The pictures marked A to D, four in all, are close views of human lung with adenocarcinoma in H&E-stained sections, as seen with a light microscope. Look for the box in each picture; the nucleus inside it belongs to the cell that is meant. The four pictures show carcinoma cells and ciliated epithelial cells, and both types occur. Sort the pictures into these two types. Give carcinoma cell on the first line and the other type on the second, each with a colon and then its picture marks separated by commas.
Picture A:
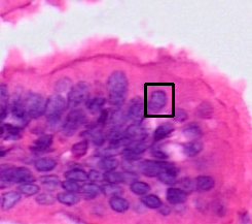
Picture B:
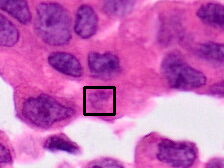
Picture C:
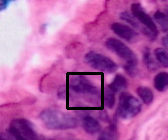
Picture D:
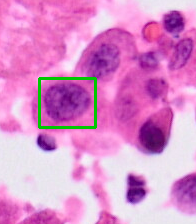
carcinoma cell: B, D
ciliated epithelial cell: A, C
